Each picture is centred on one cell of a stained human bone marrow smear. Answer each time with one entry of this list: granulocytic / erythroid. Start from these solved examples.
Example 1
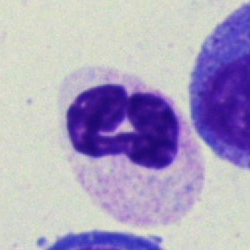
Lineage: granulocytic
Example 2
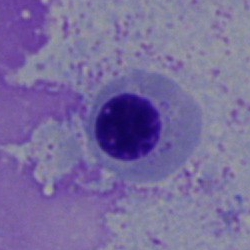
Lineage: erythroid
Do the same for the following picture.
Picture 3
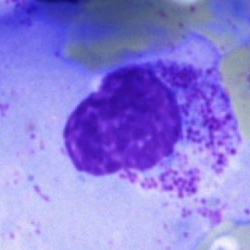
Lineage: granulocytic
